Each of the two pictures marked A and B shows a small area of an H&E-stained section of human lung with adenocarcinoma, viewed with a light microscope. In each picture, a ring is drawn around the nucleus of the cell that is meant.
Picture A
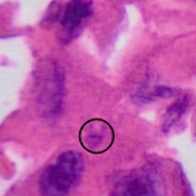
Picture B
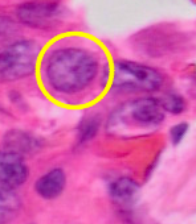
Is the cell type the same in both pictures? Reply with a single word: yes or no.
yes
